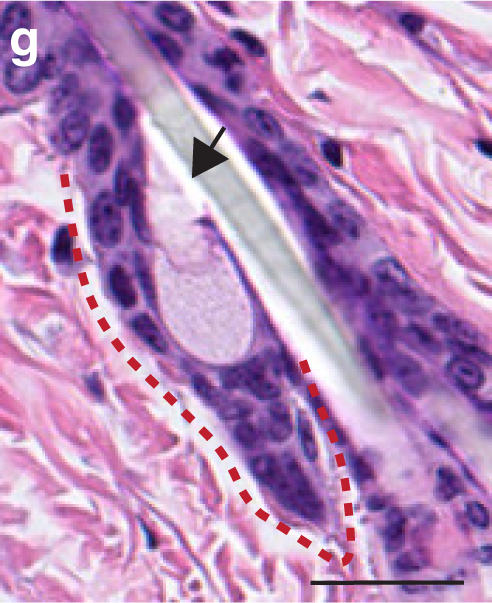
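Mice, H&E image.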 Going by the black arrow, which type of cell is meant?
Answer: A bursting sebocyte releasing sebum into the sebaceous duct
